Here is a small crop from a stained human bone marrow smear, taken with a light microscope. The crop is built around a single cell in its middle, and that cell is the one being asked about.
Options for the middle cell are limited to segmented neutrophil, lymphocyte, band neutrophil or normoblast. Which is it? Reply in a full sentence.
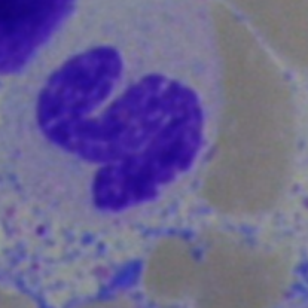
As for the cell in the middle, it is a band neutrophil.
